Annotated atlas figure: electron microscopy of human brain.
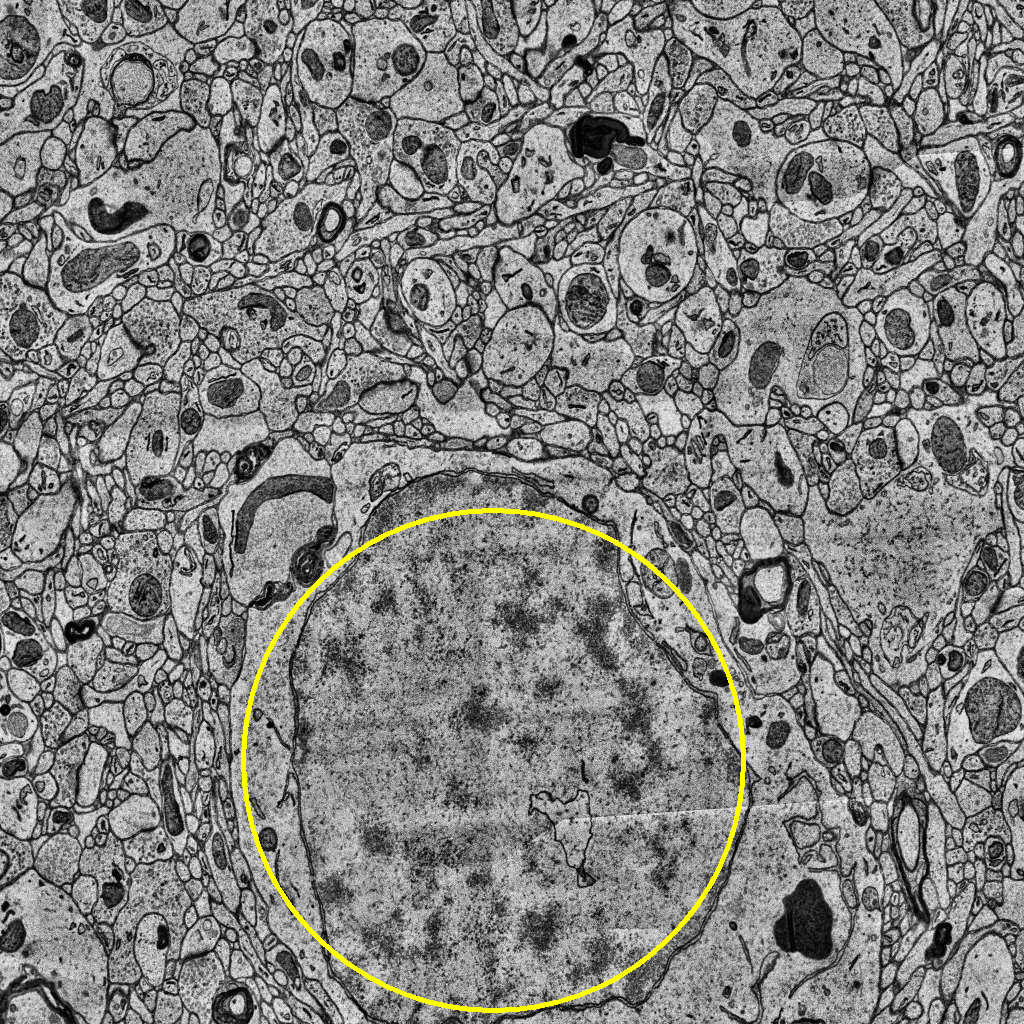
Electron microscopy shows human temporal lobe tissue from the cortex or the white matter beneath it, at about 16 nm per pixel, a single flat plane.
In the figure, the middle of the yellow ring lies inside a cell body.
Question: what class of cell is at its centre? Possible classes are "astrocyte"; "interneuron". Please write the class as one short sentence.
The yellow ring's centre lies in an interneuron.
